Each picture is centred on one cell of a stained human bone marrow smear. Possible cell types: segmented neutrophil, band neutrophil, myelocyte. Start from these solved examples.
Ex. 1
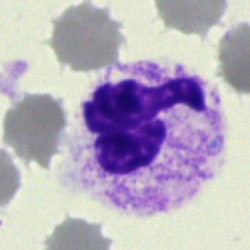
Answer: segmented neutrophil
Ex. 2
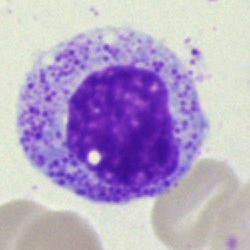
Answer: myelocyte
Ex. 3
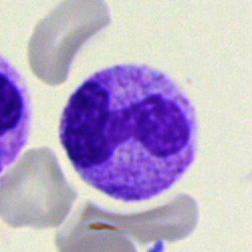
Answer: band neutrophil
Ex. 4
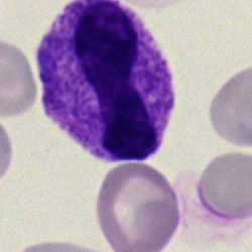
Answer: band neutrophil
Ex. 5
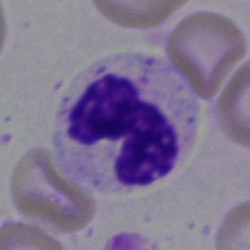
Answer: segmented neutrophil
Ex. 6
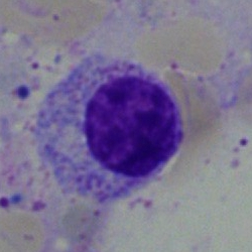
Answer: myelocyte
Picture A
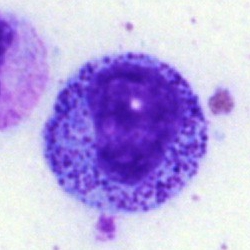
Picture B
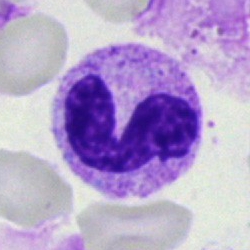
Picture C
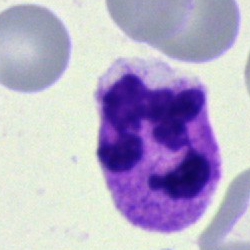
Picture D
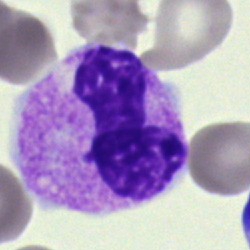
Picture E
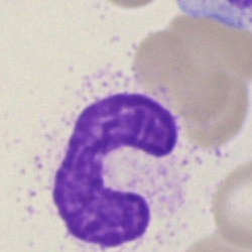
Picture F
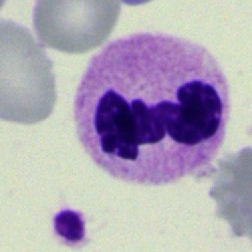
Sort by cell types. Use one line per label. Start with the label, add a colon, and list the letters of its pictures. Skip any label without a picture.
segmented neutrophil: C, F
band neutrophil: B, D, E
myelocyte: A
